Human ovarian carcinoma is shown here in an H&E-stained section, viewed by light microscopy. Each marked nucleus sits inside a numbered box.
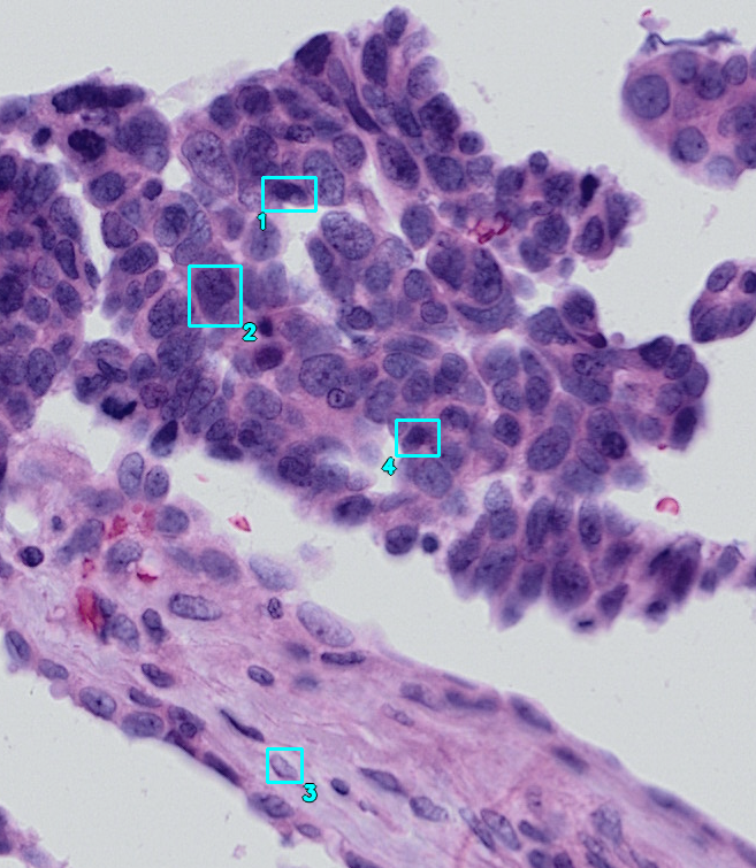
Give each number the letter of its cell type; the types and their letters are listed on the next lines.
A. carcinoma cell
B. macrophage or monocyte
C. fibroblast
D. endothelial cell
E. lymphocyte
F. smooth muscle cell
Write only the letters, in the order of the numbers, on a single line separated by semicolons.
A; A; C; A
